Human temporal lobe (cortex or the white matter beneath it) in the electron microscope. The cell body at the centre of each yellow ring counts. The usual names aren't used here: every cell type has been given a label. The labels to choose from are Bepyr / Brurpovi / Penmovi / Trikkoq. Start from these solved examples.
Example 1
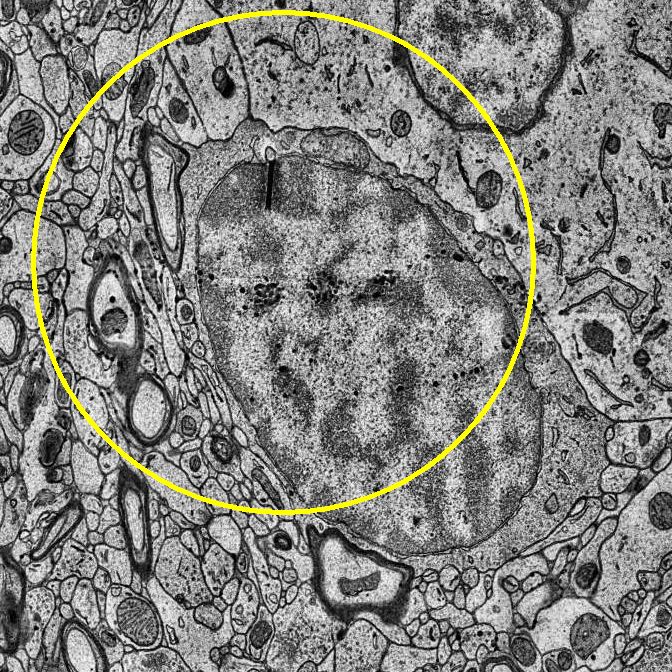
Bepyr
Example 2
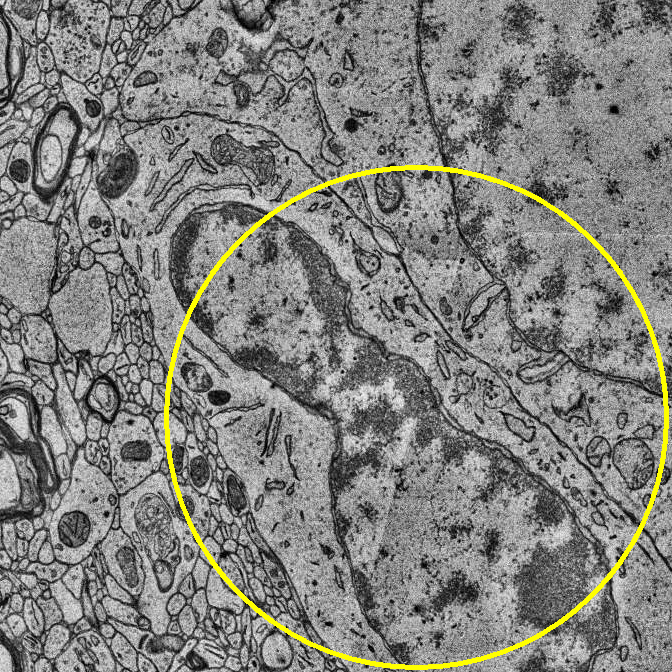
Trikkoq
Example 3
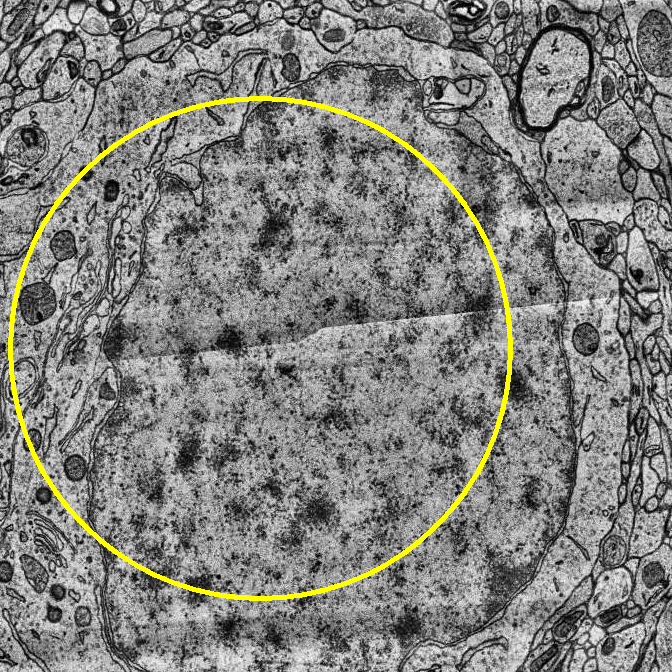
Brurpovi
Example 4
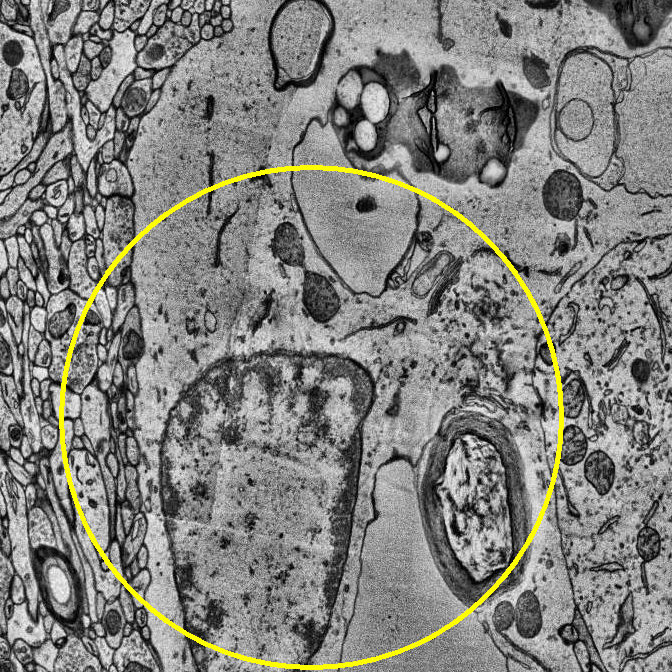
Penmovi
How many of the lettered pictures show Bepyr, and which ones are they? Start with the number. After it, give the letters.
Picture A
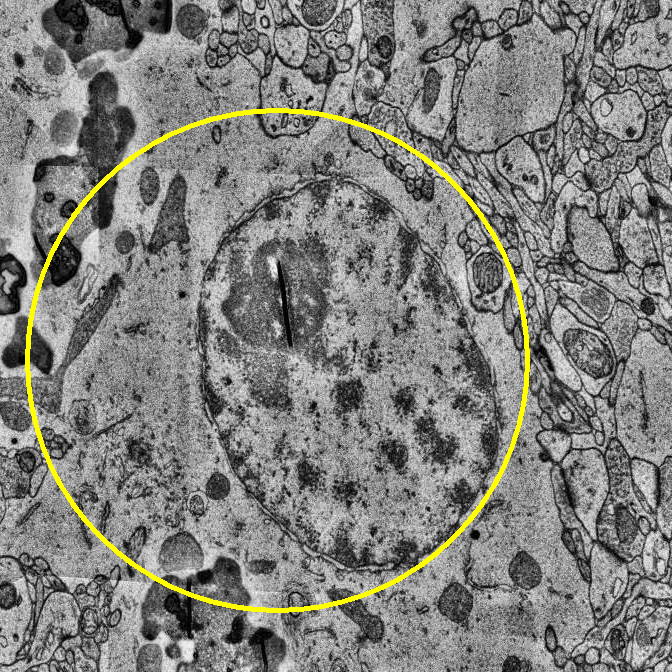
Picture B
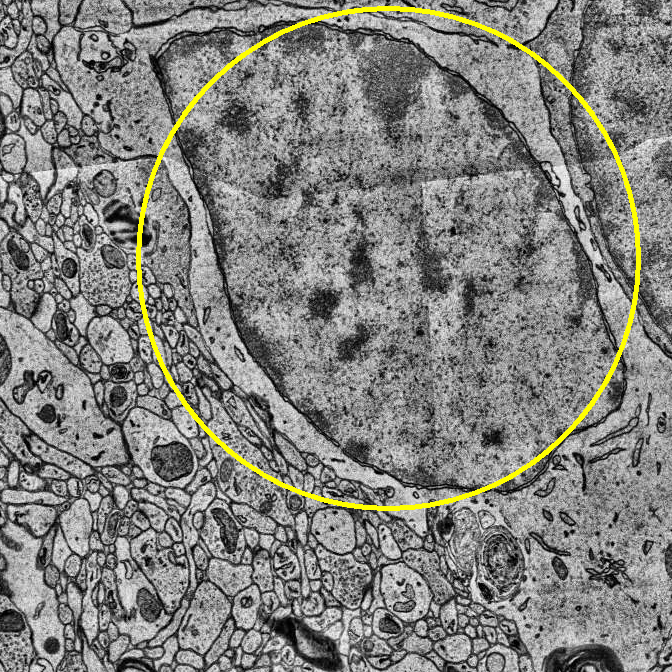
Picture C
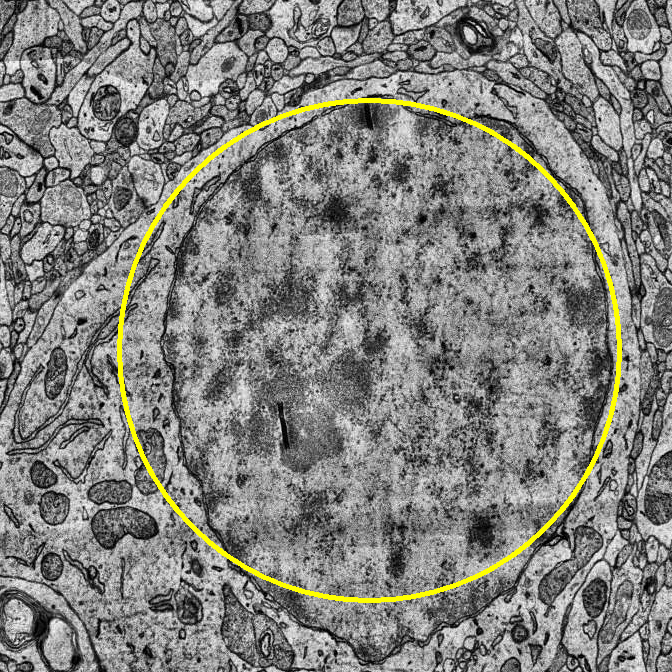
0, none of them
